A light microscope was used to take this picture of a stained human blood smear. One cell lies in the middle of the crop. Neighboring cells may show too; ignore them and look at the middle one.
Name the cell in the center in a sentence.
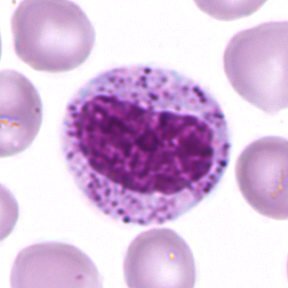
In the central position of this crop, the cell is a metamyelocyte.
